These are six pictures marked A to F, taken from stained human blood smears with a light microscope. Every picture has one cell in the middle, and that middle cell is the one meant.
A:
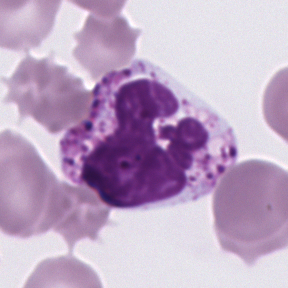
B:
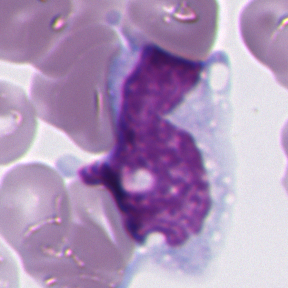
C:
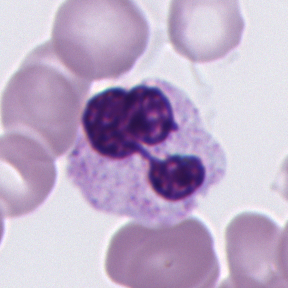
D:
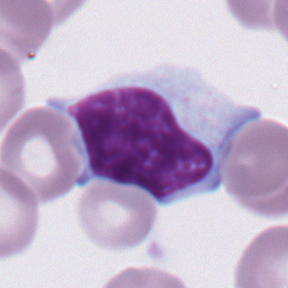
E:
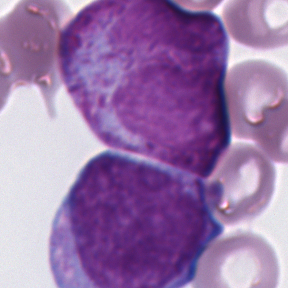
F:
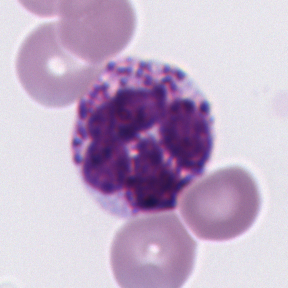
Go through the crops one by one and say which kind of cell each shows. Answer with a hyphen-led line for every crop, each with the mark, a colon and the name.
- A: basophil
- B: monocyte
- C: segmented neutrophil
- D: typical lymphocyte
- E: atypical promyelocyte
- F: basophil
